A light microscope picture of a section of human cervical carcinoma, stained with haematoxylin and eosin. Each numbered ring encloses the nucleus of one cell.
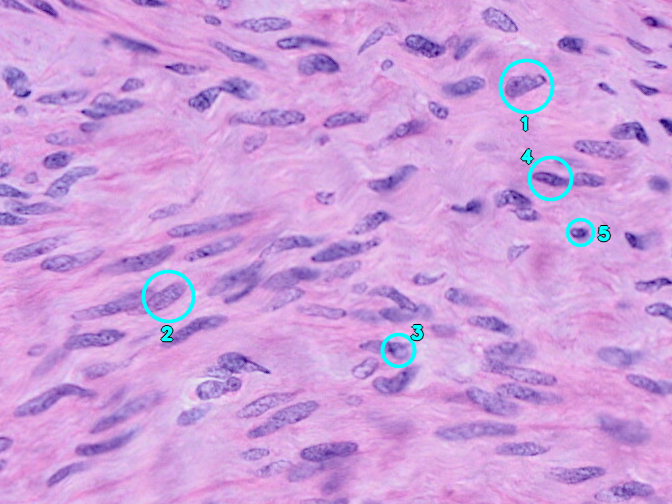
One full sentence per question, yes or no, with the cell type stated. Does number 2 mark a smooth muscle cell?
Yes, the numbered nucleus 2 is that of a smooth muscle cell.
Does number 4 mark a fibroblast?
Yes, the cell with the mark numbered 4 is a fibroblast.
